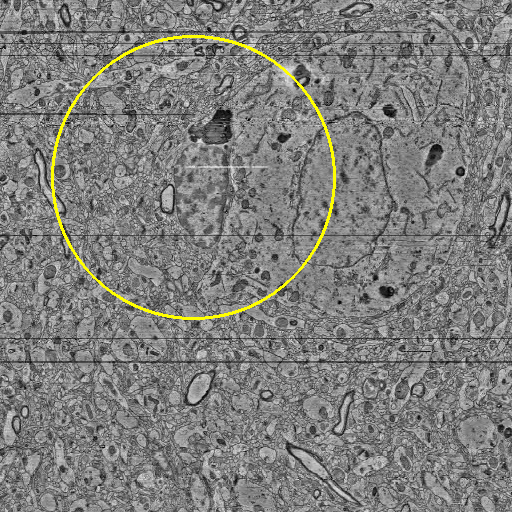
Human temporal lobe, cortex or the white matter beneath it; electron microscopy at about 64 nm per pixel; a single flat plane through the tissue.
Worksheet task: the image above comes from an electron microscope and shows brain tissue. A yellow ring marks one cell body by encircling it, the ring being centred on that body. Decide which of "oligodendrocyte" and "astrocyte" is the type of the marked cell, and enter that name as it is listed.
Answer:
oligodendrocyte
